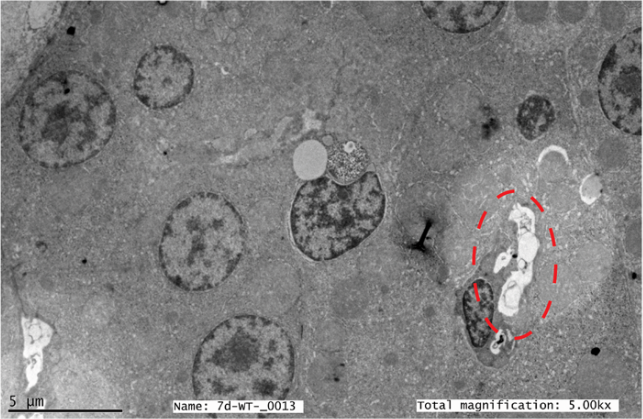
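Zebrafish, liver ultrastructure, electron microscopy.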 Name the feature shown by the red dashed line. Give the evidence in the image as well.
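An elongated, electron-lucent lumen lies between adjacent cells. The answer: bile canaliculi.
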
